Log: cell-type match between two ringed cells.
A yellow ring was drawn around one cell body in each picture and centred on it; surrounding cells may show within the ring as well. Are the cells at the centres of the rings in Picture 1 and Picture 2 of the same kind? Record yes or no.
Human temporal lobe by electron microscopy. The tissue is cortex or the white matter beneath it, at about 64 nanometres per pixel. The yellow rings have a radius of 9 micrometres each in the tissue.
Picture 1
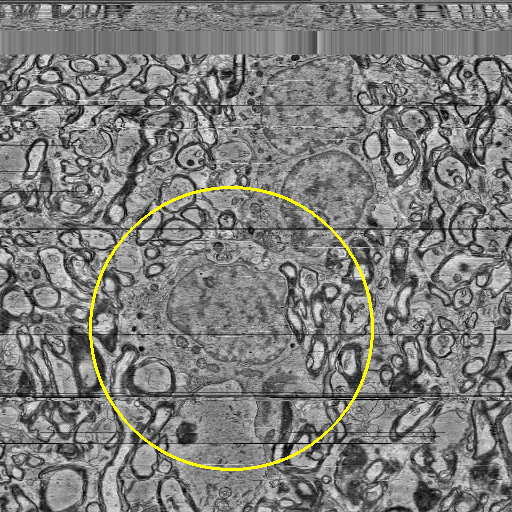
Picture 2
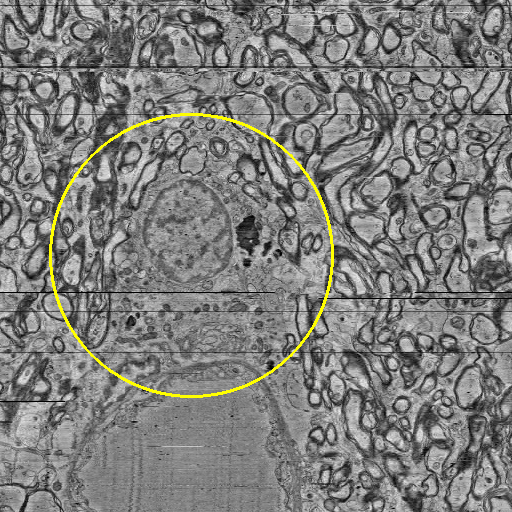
yes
